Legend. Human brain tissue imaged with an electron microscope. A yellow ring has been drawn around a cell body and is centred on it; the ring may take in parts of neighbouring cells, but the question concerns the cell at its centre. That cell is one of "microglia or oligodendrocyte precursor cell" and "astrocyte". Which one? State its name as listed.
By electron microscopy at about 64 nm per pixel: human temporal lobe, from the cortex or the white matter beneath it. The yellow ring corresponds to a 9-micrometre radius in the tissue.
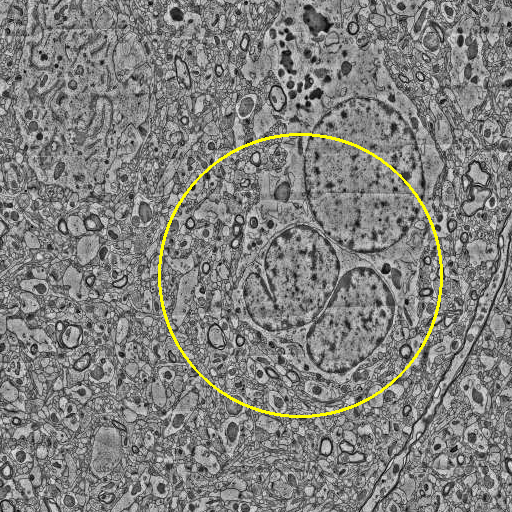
microglia or oligodendrocyte precursor cell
